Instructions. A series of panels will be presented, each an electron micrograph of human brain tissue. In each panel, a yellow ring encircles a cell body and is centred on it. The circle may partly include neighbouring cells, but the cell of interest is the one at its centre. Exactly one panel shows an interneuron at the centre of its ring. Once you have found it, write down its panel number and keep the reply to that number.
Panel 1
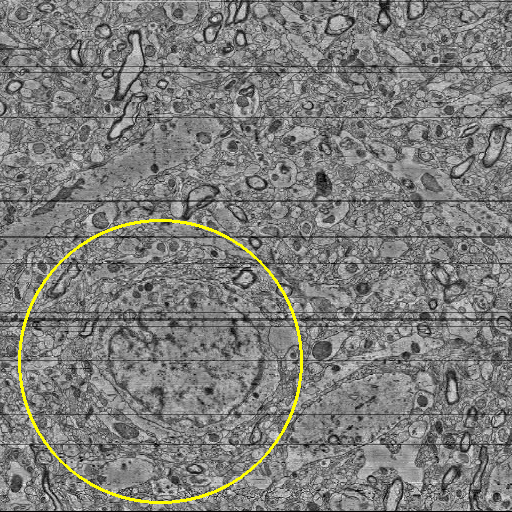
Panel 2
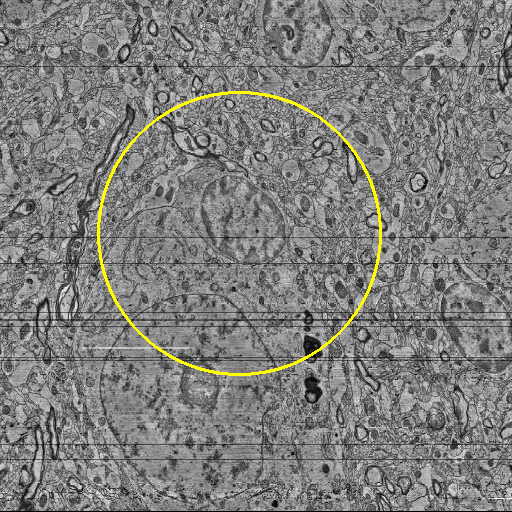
1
